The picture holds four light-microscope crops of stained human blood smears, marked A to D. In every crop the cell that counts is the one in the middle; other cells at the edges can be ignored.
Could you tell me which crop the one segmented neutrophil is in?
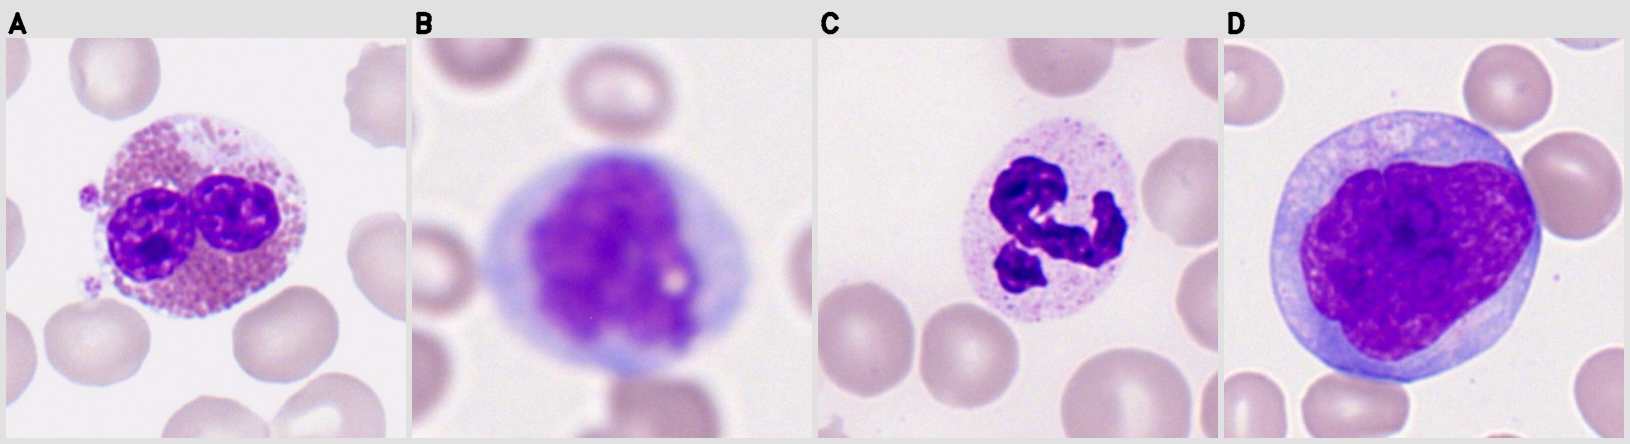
C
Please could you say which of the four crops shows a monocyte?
B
